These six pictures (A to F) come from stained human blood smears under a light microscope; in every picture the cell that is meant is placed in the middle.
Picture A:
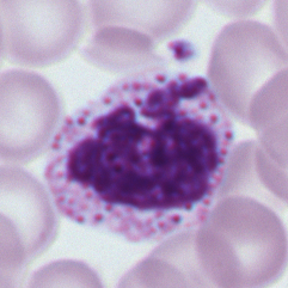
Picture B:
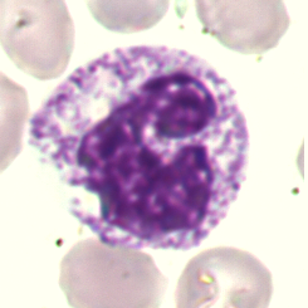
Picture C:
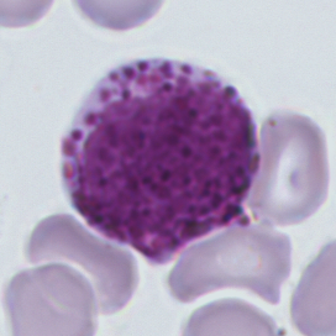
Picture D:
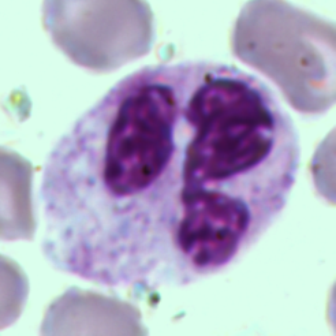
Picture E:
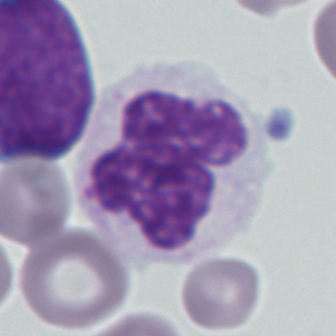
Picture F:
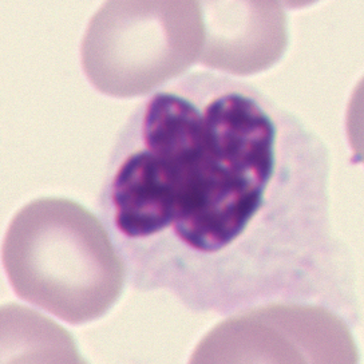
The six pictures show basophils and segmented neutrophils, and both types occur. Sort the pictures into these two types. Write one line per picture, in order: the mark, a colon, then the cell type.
A: basophil
B: segmented neutrophil
C: basophil
D: segmented neutrophil
E: segmented neutrophil
F: segmented neutrophil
